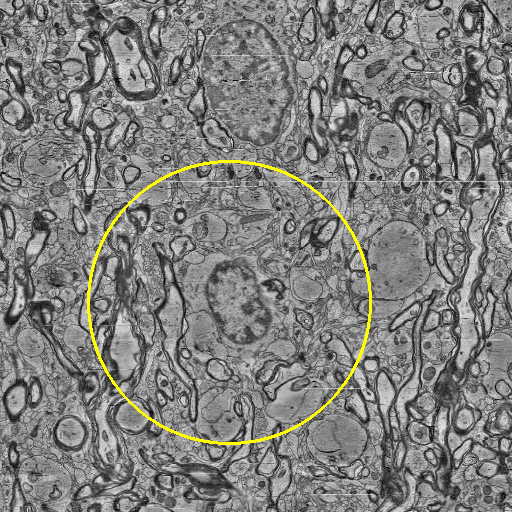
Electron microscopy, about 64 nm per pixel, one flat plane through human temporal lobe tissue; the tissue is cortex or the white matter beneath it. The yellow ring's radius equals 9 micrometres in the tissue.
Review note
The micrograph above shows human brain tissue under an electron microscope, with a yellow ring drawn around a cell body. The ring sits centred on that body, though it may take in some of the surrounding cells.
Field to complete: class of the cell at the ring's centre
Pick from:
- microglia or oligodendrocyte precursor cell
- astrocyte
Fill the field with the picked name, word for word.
microglia or oligodendrocyte precursor cell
